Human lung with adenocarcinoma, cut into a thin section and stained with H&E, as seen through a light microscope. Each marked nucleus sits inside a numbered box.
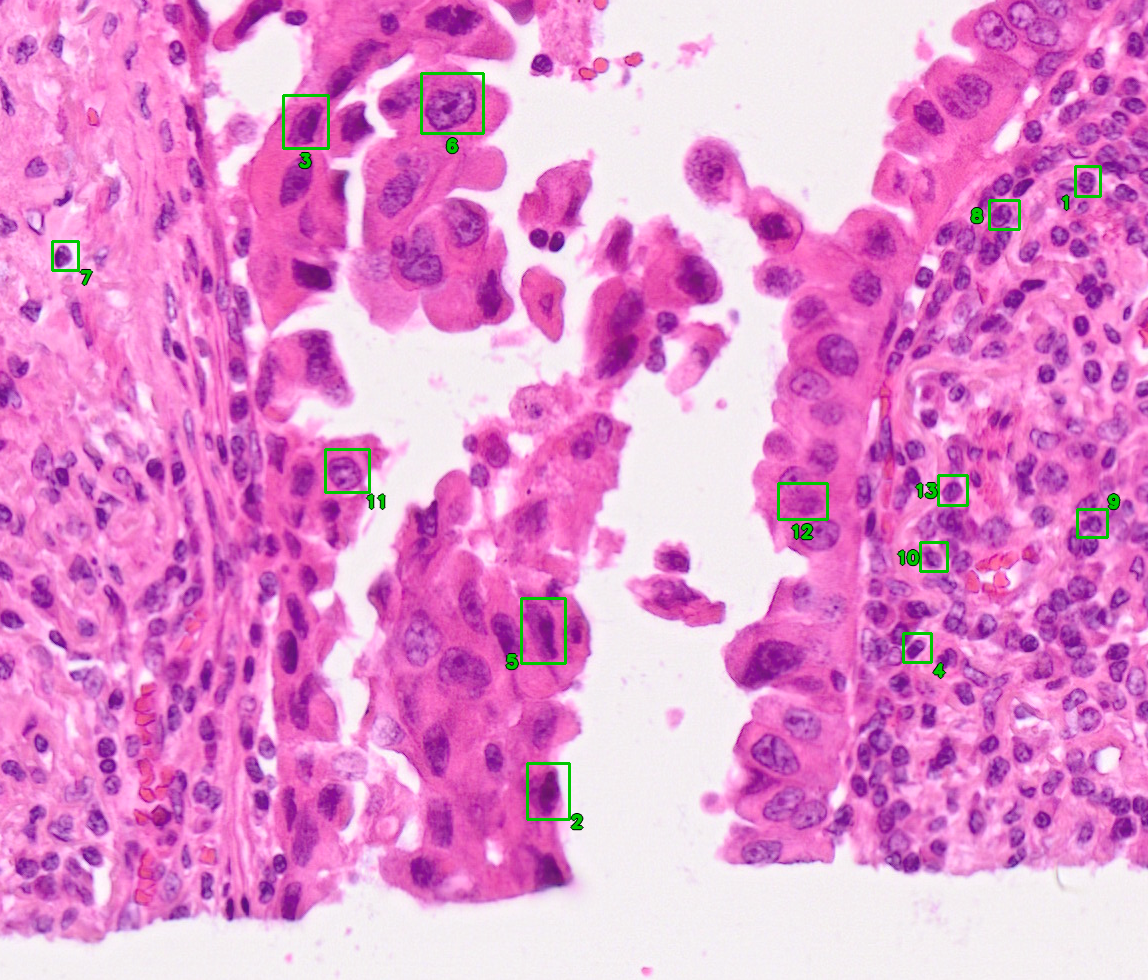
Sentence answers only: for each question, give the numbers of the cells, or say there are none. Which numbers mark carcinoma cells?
As for the cells numbered 2, 3, 5, 6, 11 and 12, they are carcinoma cells.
